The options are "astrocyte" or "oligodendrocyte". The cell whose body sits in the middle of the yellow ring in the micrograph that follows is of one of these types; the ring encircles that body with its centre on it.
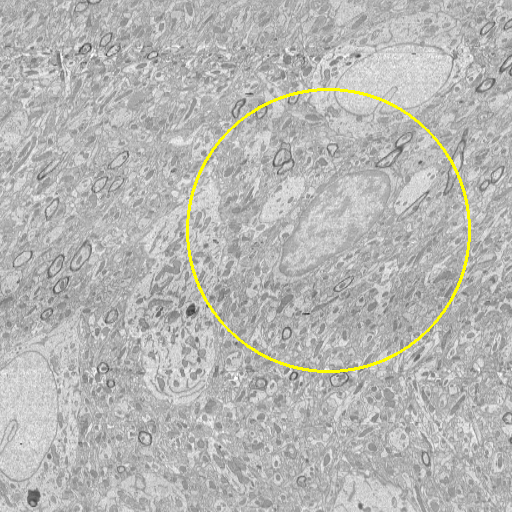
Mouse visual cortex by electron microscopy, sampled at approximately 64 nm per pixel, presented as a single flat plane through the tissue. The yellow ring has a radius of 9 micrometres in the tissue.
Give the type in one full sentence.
Going by the micrograph, the cell centred in the yellow ring is an oligodendrocyte.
